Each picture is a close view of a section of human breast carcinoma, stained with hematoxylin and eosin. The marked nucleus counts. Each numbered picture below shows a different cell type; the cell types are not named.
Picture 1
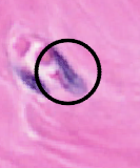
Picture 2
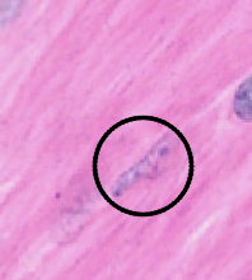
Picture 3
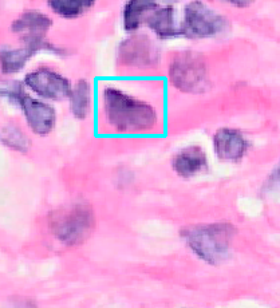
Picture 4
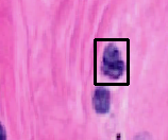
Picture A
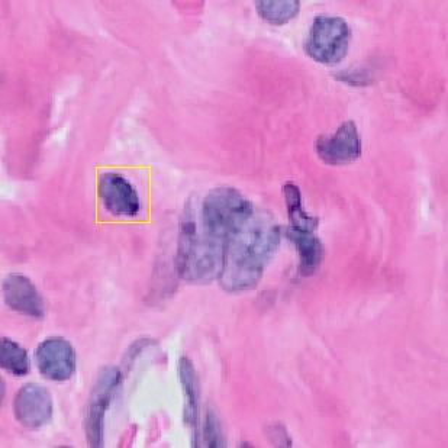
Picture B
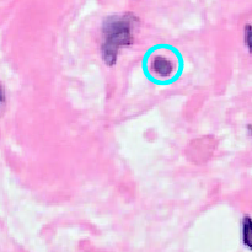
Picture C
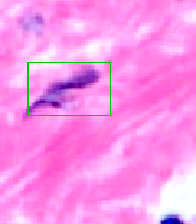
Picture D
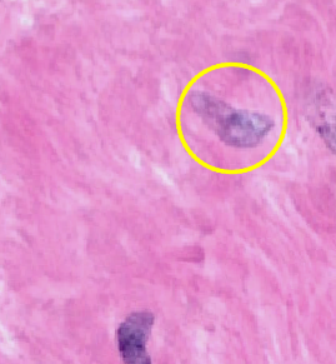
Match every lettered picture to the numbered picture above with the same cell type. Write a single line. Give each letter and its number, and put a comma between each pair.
A 4, B 4, C 2, D 2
